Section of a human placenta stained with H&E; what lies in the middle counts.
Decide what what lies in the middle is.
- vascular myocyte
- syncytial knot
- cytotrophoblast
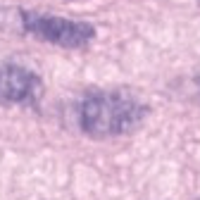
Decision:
vascular myocyte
